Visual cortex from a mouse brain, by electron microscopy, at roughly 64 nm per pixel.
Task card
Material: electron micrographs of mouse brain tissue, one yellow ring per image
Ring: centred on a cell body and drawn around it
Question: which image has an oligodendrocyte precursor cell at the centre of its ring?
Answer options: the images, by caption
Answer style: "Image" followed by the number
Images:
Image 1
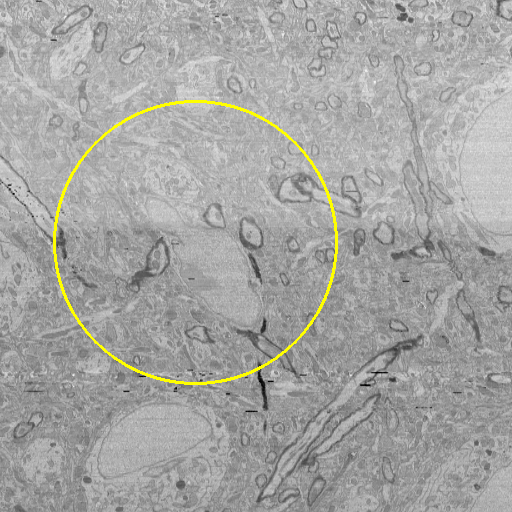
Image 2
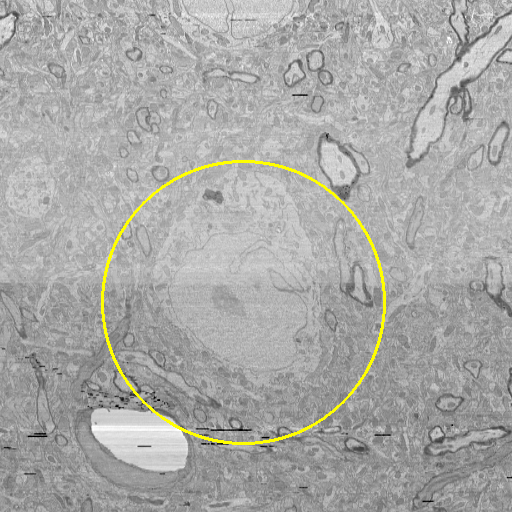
Image 1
